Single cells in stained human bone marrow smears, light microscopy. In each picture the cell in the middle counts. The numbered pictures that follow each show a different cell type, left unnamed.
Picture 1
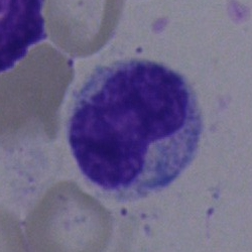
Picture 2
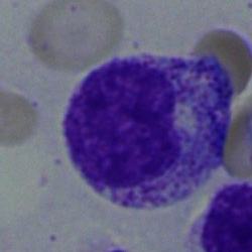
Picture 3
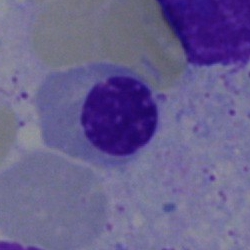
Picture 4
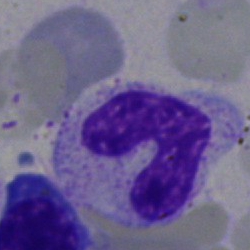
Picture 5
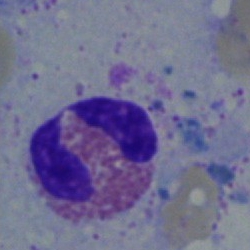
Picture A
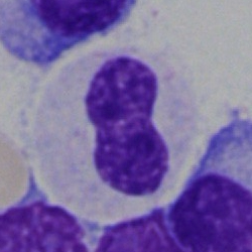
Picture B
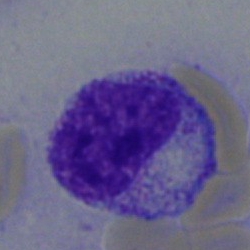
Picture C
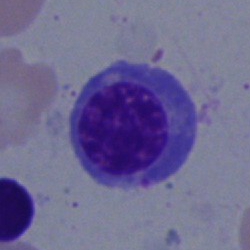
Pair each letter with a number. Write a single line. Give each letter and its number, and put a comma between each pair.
A 4, B 1, C 3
